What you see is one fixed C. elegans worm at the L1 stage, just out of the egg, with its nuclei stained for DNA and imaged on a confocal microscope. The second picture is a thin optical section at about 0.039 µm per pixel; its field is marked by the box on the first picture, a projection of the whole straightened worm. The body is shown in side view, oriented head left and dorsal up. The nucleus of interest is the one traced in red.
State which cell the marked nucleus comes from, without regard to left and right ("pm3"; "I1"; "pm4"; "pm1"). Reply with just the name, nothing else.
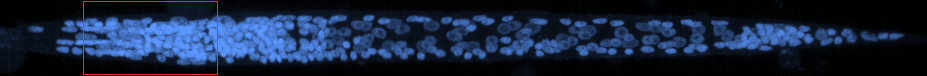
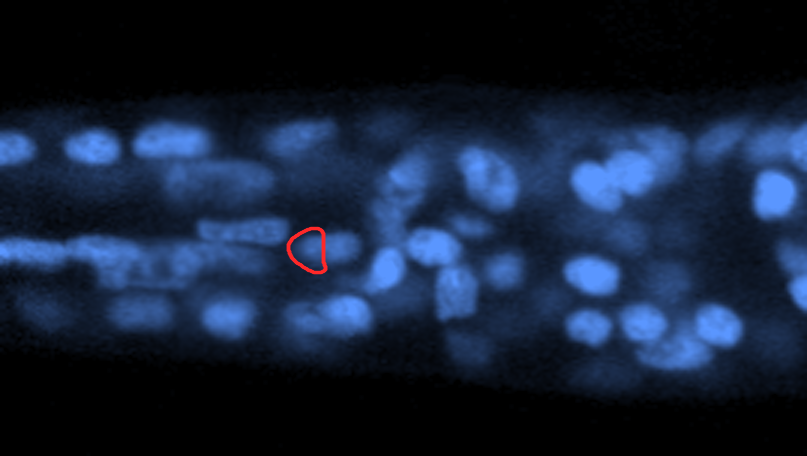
I1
